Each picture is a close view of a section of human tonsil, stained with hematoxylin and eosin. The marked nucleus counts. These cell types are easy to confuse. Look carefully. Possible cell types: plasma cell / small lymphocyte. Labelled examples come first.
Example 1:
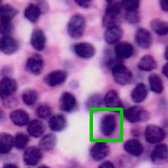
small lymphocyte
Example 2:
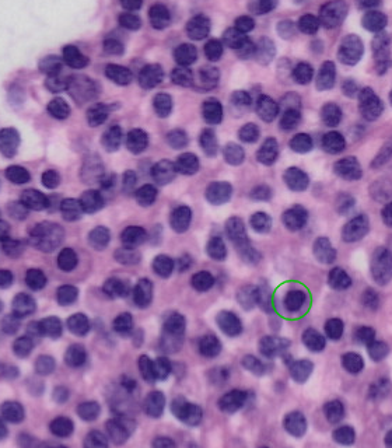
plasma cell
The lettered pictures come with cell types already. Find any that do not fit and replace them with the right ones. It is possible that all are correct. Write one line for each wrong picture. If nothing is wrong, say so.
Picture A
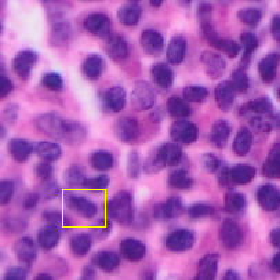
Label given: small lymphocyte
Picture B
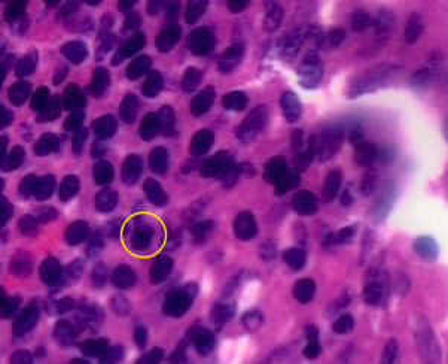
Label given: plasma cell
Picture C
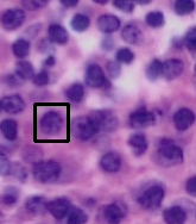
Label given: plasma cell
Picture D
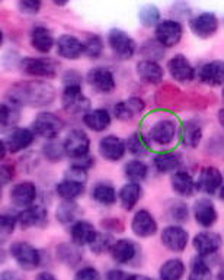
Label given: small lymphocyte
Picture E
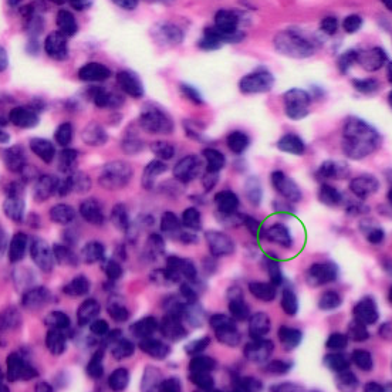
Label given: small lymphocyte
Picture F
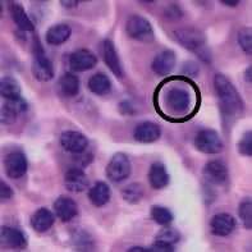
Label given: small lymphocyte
F is labelled small lymphocyte; correct label: plasma cell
